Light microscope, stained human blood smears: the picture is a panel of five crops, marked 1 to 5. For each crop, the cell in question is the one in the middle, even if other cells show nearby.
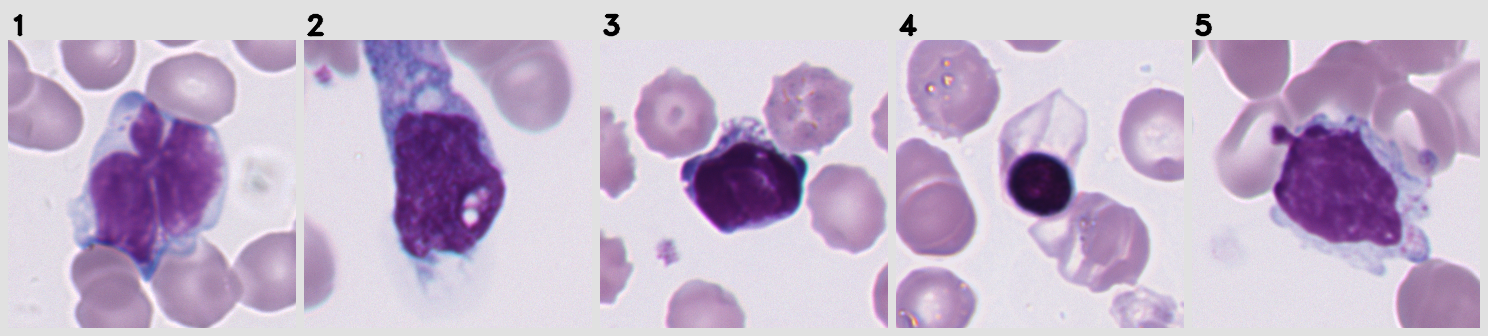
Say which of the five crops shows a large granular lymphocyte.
5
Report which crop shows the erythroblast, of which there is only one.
4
